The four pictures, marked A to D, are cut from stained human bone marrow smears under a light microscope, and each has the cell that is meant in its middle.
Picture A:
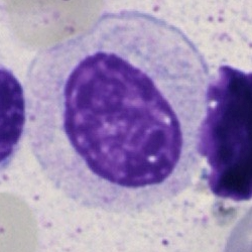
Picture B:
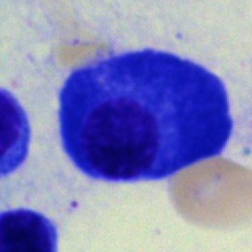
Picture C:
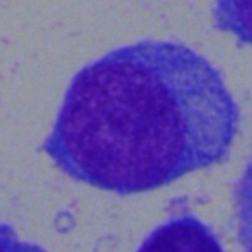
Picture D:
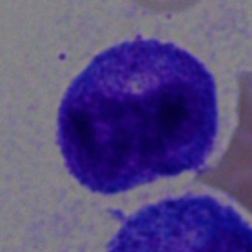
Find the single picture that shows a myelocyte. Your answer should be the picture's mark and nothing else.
A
